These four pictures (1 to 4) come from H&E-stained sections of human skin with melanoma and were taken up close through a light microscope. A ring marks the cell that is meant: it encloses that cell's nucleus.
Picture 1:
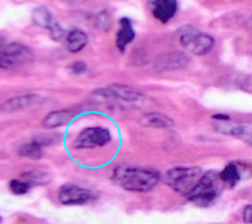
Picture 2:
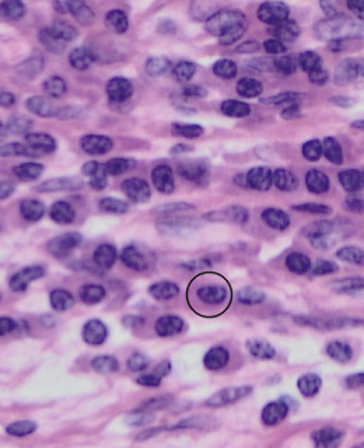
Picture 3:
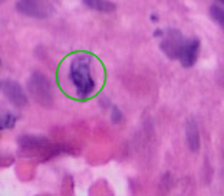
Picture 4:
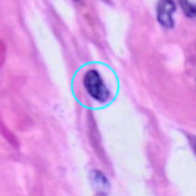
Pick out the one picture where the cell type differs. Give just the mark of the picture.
2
